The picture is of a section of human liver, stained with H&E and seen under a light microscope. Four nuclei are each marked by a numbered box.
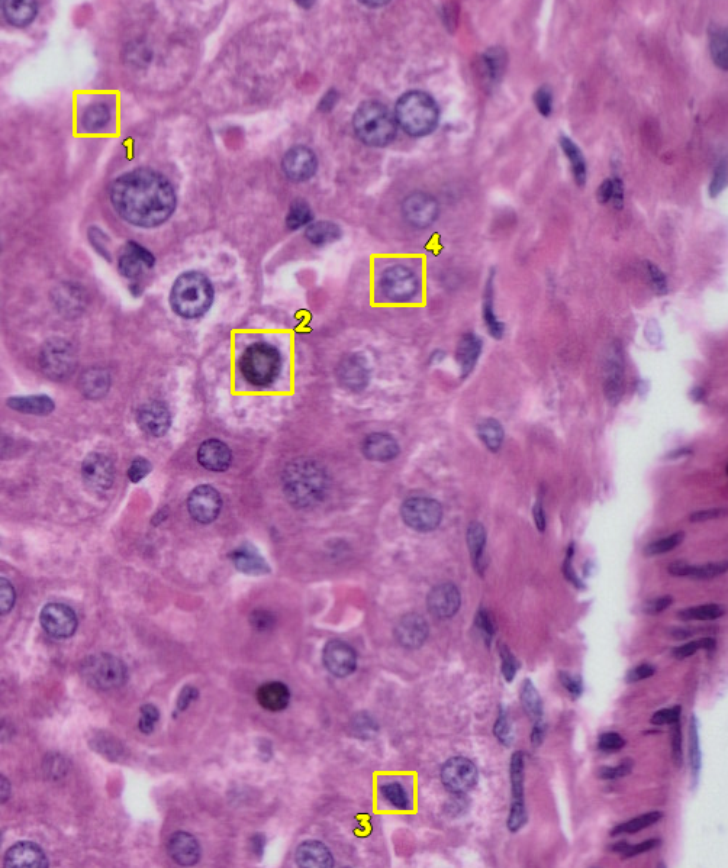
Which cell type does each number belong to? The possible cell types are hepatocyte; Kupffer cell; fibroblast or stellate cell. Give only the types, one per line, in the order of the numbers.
Kupffer cell
hepatocyte
fibroblast or stellate cell
hepatocyte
